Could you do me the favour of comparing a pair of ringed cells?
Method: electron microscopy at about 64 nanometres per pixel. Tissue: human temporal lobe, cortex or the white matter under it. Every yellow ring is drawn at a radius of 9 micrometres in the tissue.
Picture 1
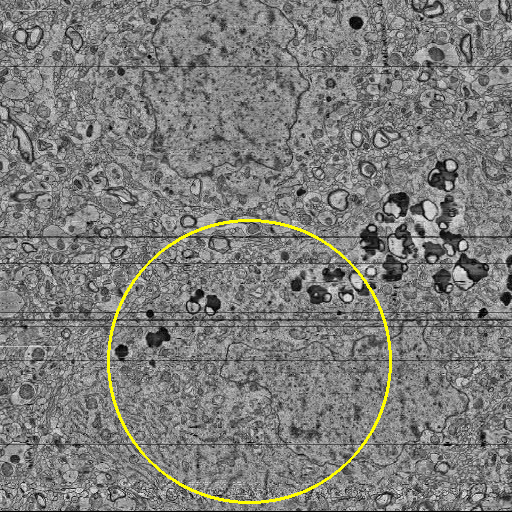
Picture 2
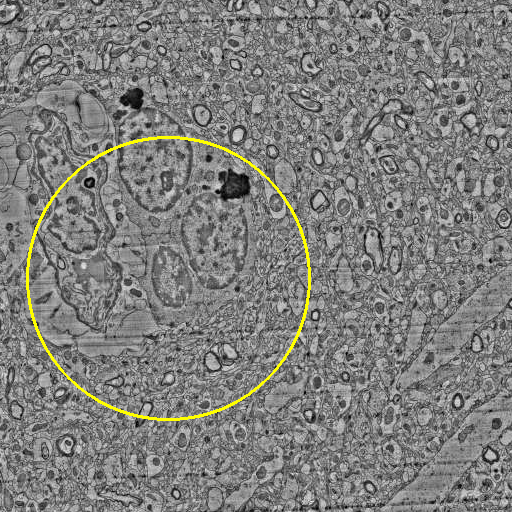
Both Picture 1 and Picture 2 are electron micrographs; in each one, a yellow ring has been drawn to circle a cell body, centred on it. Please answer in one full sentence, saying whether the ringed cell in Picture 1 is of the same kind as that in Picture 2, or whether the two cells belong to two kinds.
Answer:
The ringed cells in Picture 1 and Picture 2 belong to two kinds.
